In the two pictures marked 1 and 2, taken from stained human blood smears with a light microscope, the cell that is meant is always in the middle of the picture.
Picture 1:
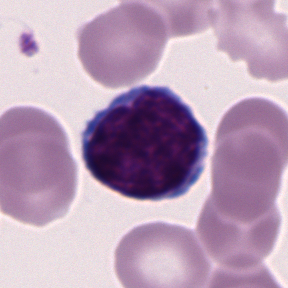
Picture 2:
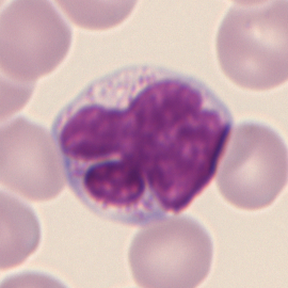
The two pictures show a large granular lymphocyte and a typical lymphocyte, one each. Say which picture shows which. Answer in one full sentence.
Picture 2 shows a large granular lymphocyte, while picture 1 shows a typical lymphocyte.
